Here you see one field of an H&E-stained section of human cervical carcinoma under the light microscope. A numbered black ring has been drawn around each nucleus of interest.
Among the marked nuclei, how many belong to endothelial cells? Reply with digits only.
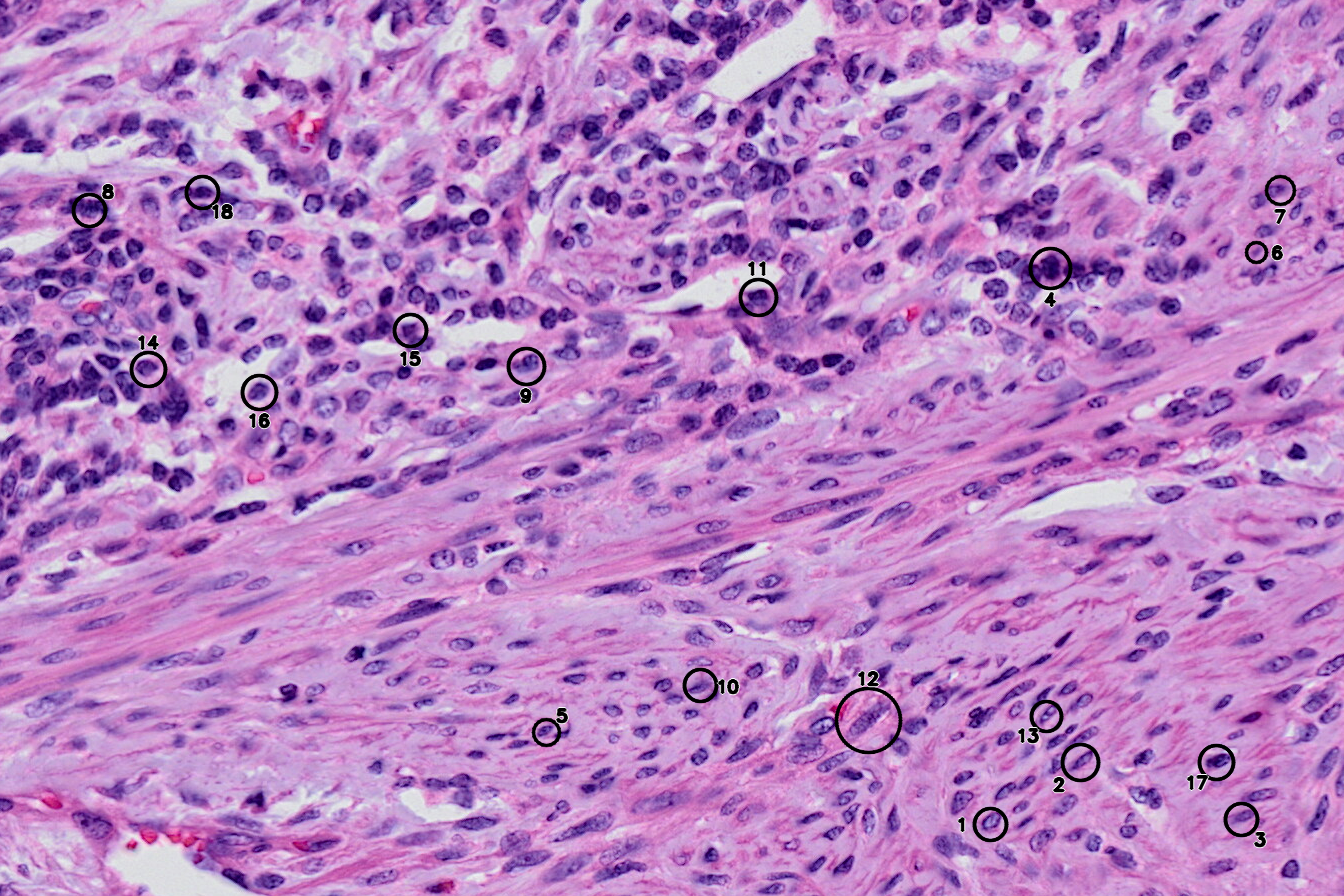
1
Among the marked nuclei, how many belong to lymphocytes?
9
